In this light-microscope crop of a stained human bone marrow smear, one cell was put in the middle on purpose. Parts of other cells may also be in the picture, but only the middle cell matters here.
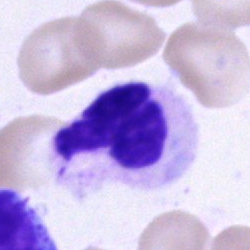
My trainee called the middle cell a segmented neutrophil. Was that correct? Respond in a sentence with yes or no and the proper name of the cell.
Yes, as for the central cell, it is a segmented neutrophil.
